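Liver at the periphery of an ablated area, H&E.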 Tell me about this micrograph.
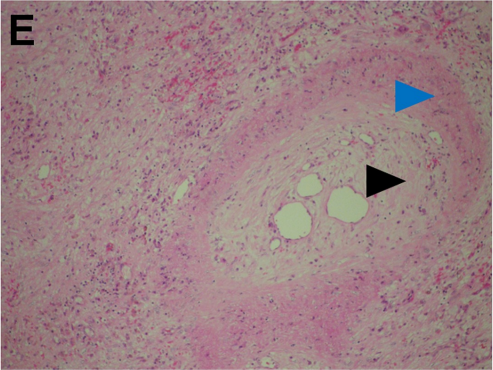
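A blood vessel cut in cross section lies in the middle of the field. Its lumen is filled by pale, loose tissue with scattered nuclei, and within this filling several round, clear, empty channels have opened. A concentric band of pink, fibrous tissue forms the vessel wall around the filling. Outside the wall the surrounding tissue is cellular, with many small dark nuclei scattered through pale pink stroma and a few small red blood-filled spaces toward the top of the field.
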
